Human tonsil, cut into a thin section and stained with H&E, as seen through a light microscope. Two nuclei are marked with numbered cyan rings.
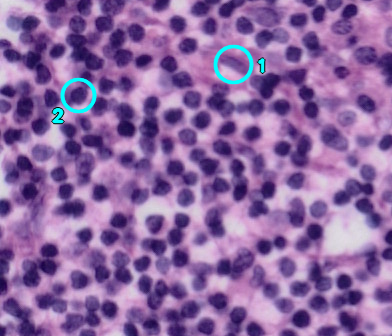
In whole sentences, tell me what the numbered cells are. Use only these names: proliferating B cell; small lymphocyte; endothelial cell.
Cell 1 is an endothelial cell and cell 2 is a small lymphocyte.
